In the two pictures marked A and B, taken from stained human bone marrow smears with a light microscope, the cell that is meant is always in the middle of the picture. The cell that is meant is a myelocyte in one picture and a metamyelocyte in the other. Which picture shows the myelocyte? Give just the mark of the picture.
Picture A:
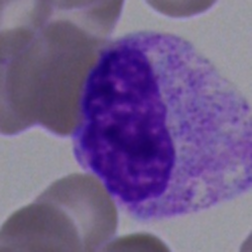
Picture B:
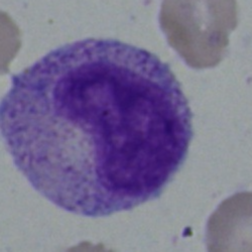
A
